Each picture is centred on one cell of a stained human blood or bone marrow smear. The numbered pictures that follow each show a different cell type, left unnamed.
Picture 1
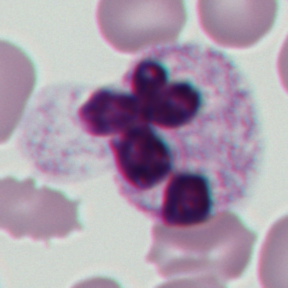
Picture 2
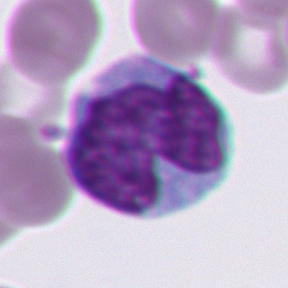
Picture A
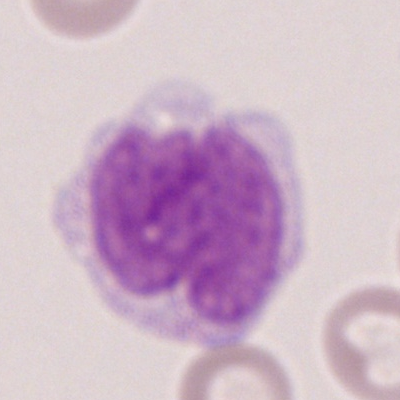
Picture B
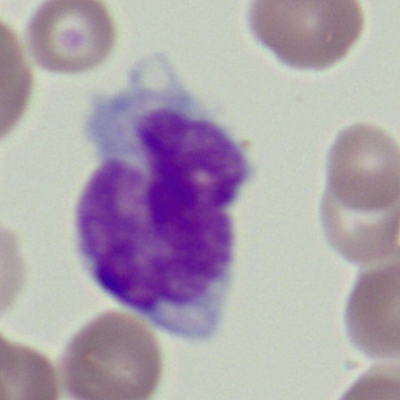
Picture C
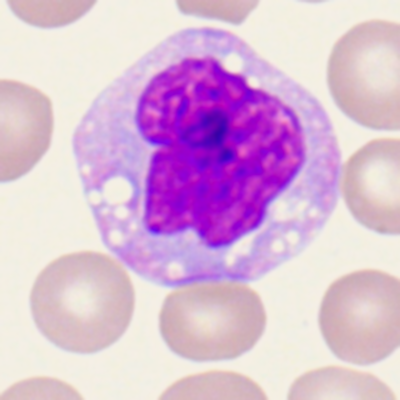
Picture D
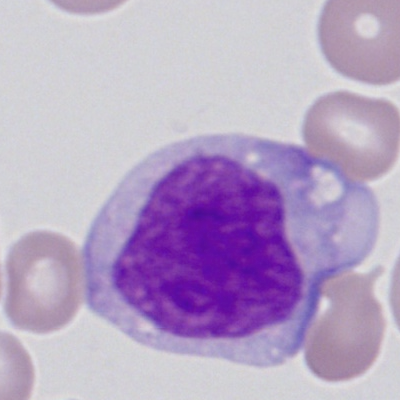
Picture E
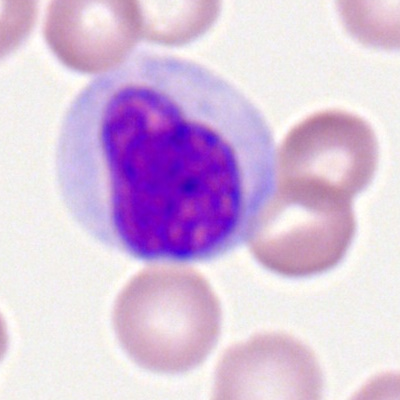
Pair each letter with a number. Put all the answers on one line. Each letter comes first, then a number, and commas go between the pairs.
A 2, B 2, C 2, D 2, E 2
